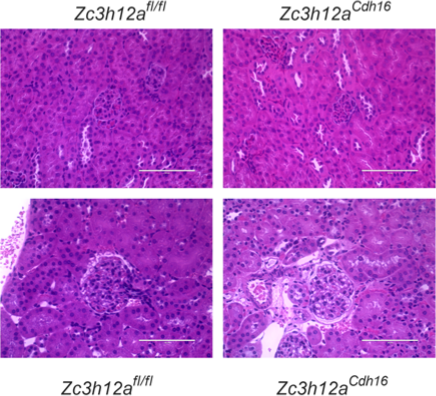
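These are sections of renal cortex containing glomeruli and tubules, stained with pink cytoplasm and blue-purple nuclei. In the upper images the tubules are closely packed, with uniform epithelial cells and evenly spaced nuclei, and the glomeruli are small and compact.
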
